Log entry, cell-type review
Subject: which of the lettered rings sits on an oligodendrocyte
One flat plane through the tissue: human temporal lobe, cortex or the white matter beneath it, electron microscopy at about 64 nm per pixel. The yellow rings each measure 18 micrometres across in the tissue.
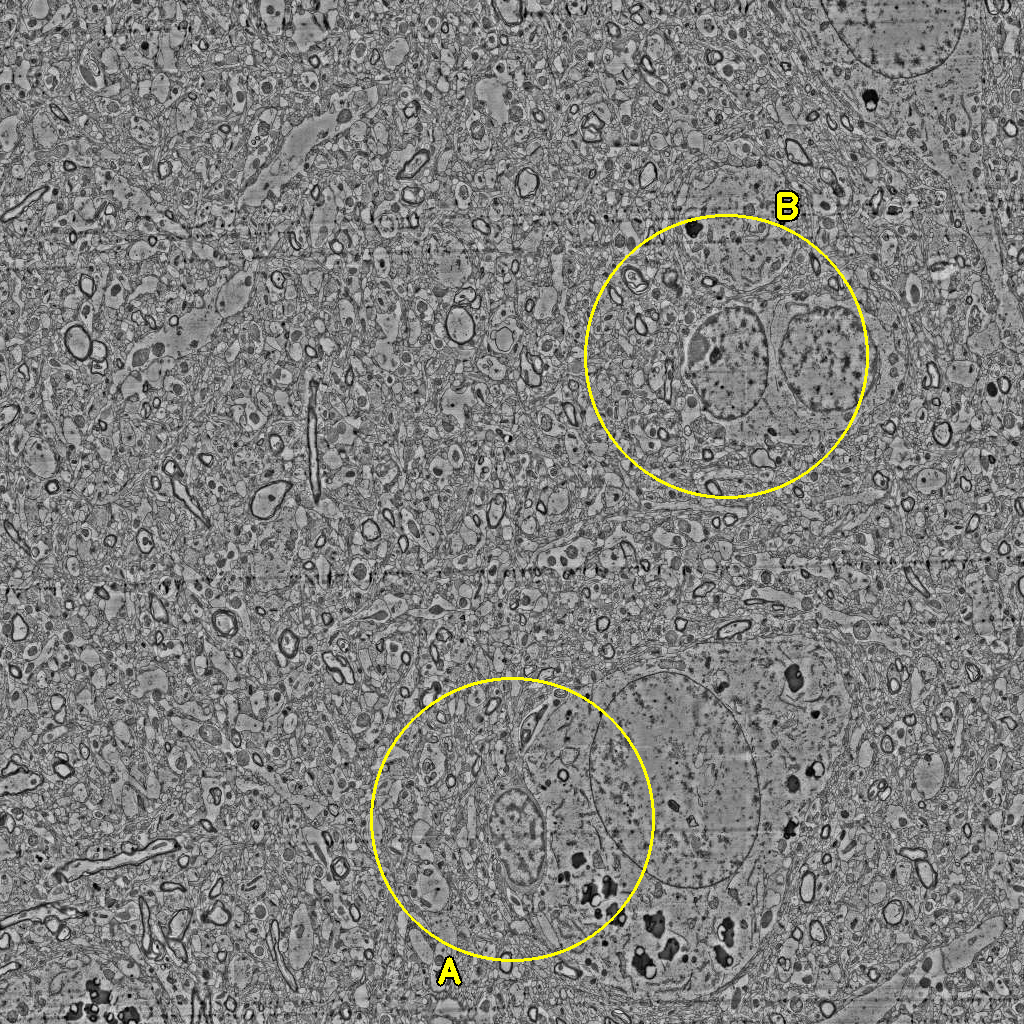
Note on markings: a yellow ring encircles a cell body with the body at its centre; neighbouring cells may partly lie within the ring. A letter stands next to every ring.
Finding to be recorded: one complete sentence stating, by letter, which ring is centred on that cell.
The cell sits at the centre of ring A.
